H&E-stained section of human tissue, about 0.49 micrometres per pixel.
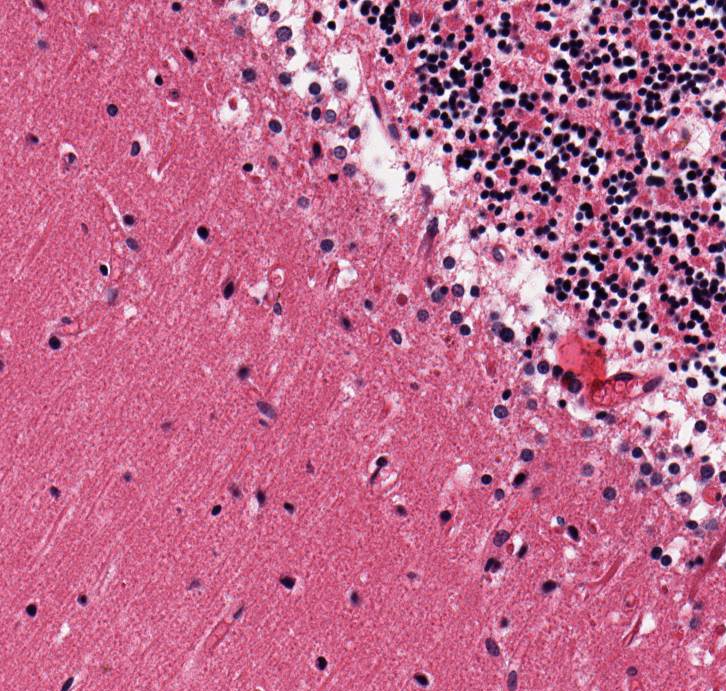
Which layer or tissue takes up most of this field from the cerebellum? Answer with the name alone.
molecular layer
